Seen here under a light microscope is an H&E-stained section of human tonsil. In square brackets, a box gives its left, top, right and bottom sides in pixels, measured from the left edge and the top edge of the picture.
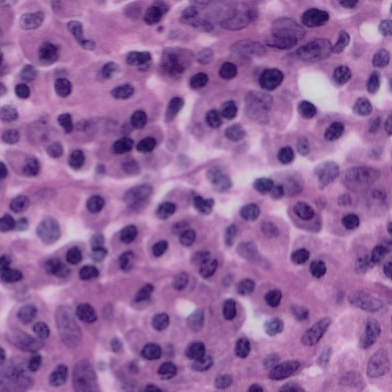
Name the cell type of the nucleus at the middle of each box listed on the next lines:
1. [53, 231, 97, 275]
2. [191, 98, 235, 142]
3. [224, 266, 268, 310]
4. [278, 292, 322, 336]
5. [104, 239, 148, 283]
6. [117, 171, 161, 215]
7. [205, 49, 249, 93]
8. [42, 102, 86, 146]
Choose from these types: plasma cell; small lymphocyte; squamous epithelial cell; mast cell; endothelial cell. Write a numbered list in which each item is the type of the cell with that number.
1. plasma cell
2. plasma cell
3. plasma cell
4. squamous epithelial cell
5. plasma cell
6. squamous epithelial cell
7. plasma cell
8. squamous epithelial cell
